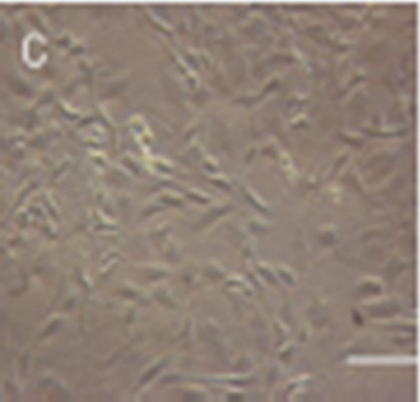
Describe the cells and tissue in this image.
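The cells are mostly elongated and spindle-shaped with bright edges. They are spread fairly evenly across the field, in places forming loose, roughly parallel groups.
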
